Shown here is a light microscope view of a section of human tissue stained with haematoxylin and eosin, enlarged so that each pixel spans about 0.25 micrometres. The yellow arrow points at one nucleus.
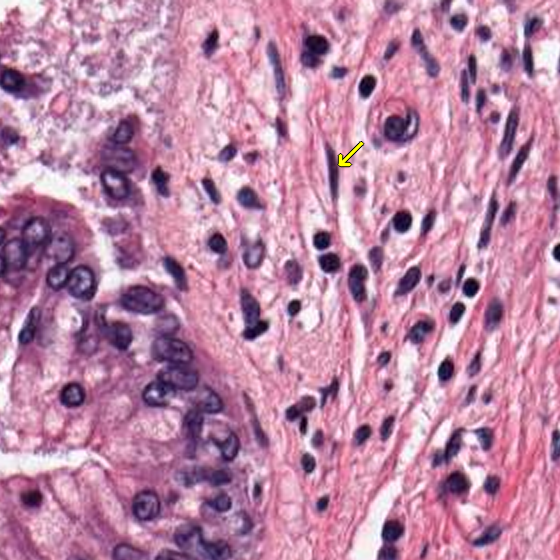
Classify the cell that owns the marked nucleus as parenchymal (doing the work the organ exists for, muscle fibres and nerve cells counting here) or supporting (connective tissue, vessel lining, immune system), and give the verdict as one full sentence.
The cell holding the marked nucleus is identified as a supporting cell.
